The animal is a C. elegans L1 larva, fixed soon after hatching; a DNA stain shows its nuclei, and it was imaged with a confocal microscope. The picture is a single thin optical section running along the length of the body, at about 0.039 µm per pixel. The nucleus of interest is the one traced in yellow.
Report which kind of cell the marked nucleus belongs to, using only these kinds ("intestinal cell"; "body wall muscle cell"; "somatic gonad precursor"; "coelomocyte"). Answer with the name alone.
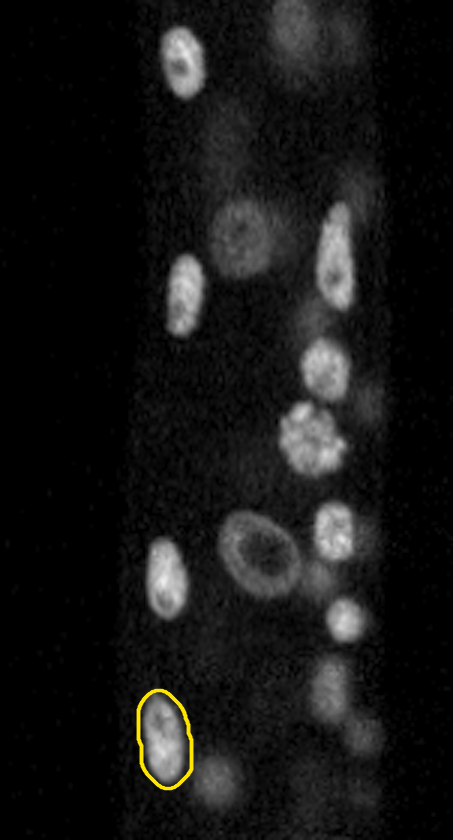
body wall muscle cell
